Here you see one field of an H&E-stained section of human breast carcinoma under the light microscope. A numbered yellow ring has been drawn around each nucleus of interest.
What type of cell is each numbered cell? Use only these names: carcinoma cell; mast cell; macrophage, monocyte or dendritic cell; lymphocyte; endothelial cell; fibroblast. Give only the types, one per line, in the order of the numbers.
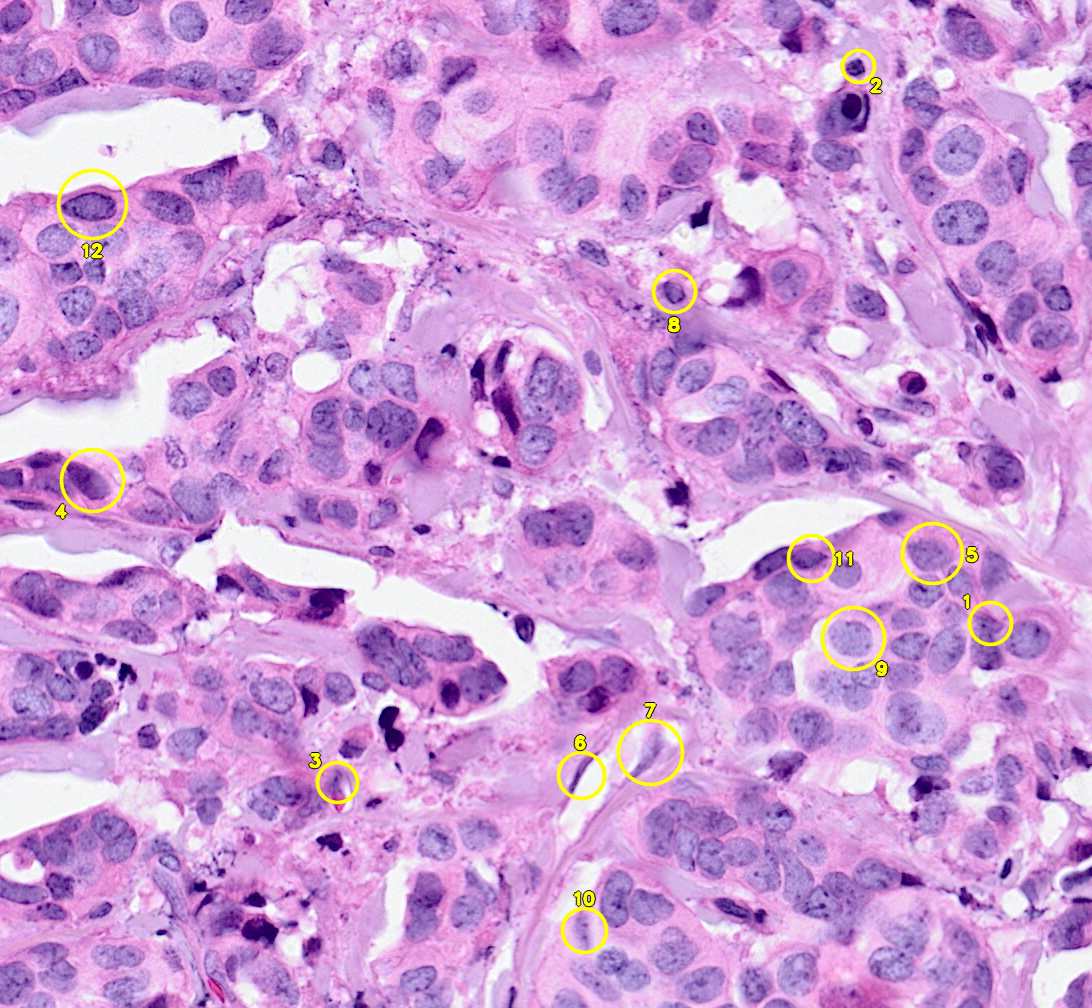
carcinoma cell
lymphocyte
endothelial cell
carcinoma cell
carcinoma cell
fibroblast
fibroblast
macrophage, monocyte or dendritic cell
carcinoma cell
carcinoma cell
carcinoma cell
carcinoma cell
